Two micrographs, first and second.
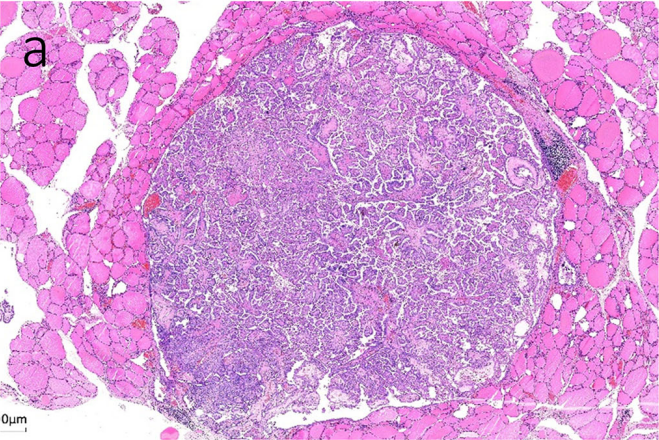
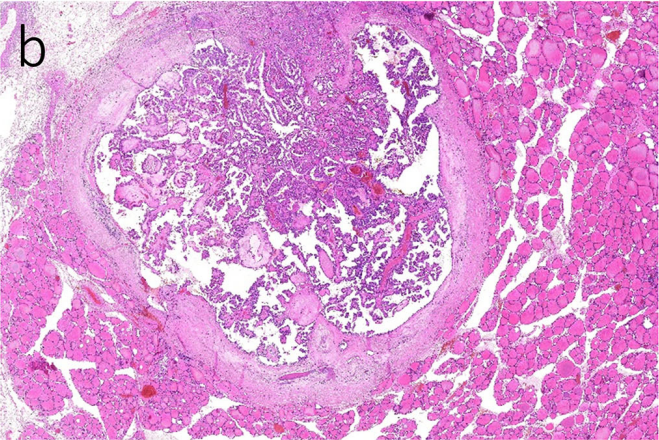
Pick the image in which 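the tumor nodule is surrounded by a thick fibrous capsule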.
the second image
